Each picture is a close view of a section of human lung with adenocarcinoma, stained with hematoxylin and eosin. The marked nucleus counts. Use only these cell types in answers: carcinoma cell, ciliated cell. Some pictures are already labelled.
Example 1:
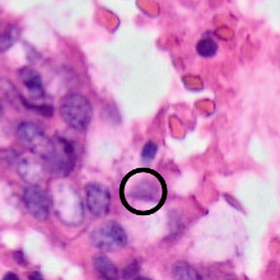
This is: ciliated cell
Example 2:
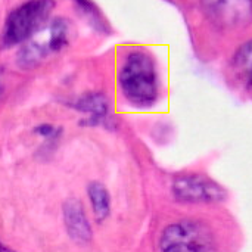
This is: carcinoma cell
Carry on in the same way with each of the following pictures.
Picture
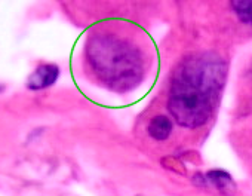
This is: carcinoma cell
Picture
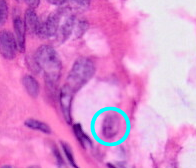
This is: ciliated cell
